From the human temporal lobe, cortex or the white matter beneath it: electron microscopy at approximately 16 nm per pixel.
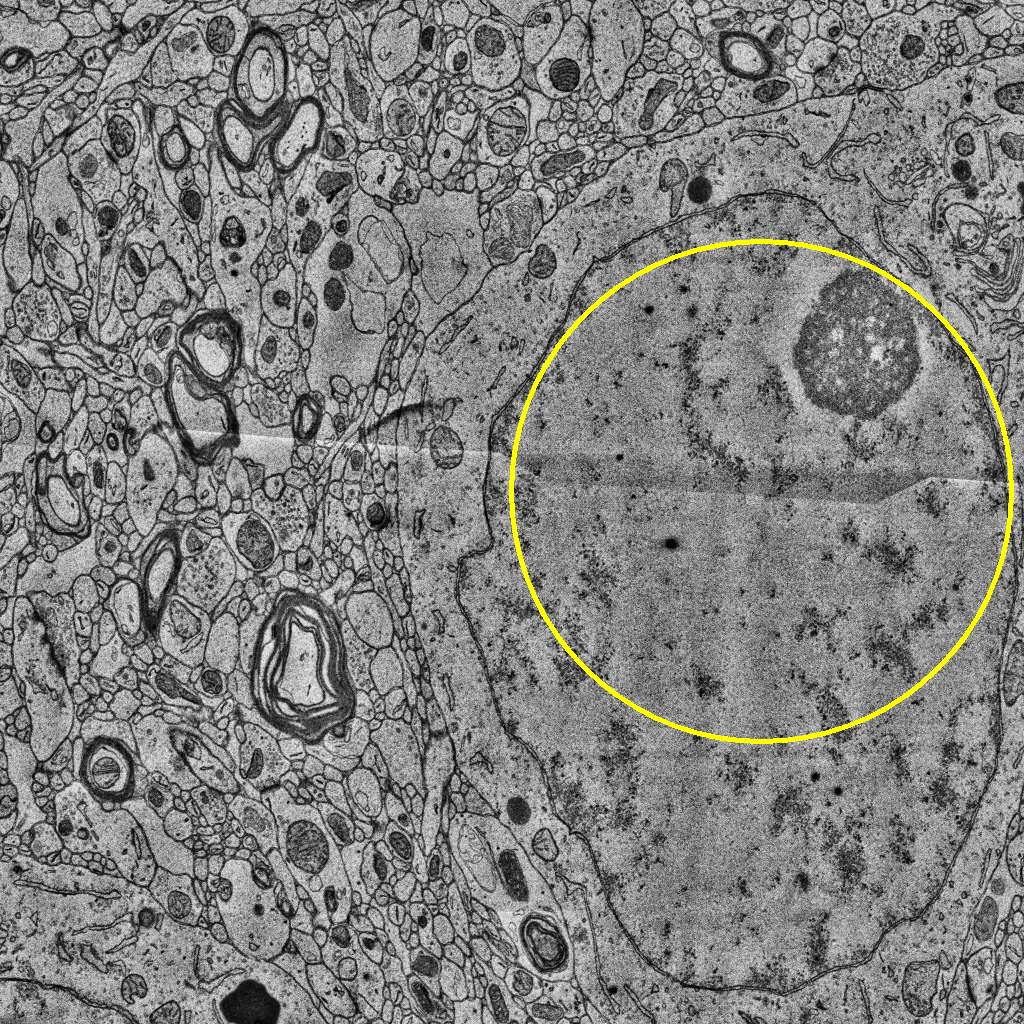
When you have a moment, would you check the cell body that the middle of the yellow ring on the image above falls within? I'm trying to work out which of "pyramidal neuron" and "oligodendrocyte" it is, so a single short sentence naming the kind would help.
This cell body belongs to a pyramidal neuron.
